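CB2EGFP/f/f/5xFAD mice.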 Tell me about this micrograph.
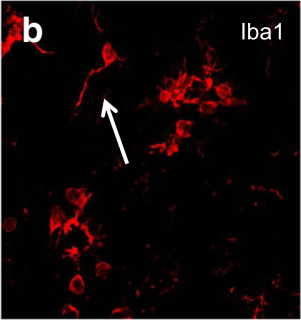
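In the upper right a dense cluster of cells with rounded bodies and short, thick processes crowds together, and a second group lies toward the lower left. An arrow marks a separate cell with a small body and a long, thin process that stands apart from the clusters. Between these groups the field is mostly dark, with a few scattered red fragments.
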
